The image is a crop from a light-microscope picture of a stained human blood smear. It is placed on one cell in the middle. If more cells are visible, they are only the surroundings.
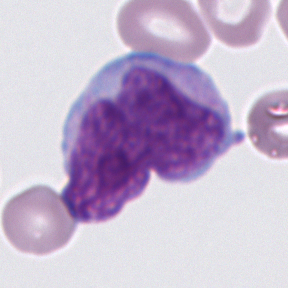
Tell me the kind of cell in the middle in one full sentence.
Present in the middle of the crop is an atypical promyelocyte.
